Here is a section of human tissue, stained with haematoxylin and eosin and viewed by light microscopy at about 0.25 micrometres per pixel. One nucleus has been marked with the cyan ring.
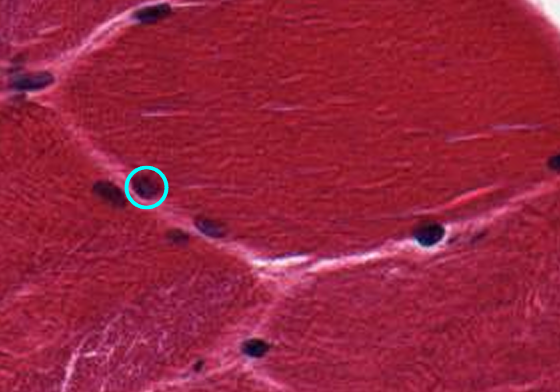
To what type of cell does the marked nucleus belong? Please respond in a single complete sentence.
The marked nucleus here is the nucleus of a skeletal muscle fibre.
